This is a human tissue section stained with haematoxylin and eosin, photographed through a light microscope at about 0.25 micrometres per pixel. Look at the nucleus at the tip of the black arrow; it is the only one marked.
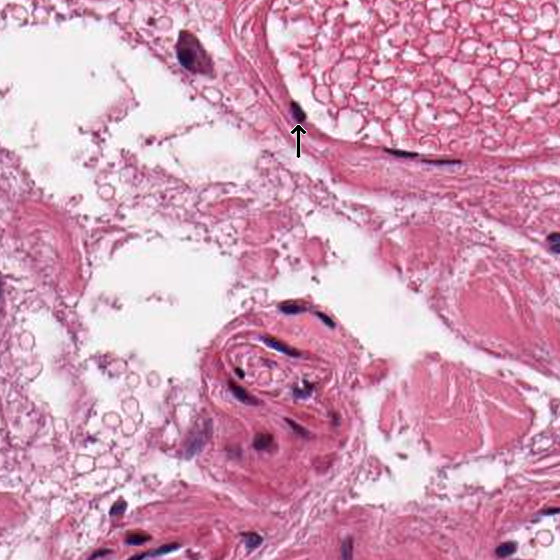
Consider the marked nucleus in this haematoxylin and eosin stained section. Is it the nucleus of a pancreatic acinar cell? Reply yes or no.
no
